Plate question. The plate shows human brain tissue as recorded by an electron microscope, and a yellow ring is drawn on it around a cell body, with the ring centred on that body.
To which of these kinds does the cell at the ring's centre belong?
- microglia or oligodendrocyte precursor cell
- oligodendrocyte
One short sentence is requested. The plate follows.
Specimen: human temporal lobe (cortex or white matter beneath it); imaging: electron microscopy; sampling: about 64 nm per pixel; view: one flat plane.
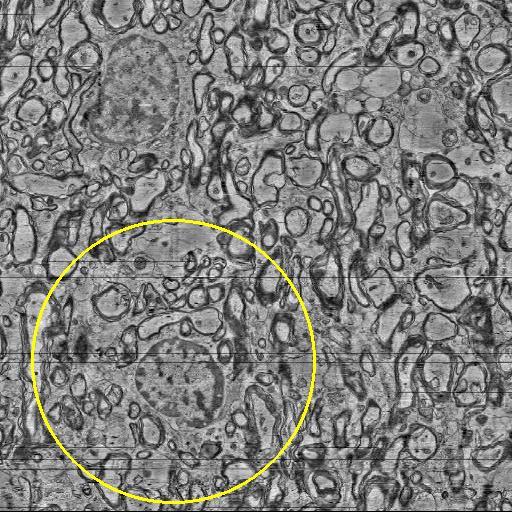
The cell at the ring's centre is a microglial cell or oligodendrocyte precursor cell.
